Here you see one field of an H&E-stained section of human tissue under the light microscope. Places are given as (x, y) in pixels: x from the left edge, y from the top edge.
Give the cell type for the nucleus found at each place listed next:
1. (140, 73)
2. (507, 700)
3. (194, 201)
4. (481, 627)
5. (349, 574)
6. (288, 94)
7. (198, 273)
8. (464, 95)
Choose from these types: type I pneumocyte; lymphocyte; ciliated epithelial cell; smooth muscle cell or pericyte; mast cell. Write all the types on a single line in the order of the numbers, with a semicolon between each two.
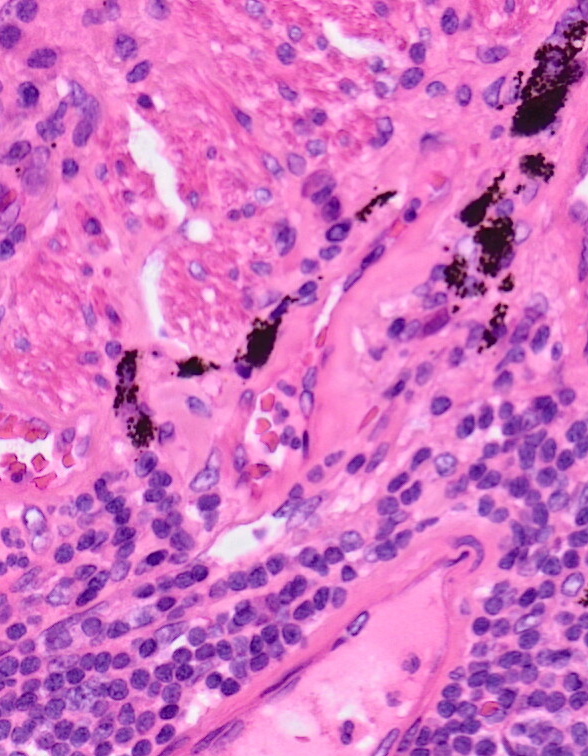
mast cell; lymphocyte; smooth muscle cell or pericyte; lymphocyte; lymphocyte; smooth muscle cell or pericyte; smooth muscle cell or pericyte; mast cell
